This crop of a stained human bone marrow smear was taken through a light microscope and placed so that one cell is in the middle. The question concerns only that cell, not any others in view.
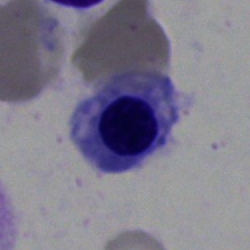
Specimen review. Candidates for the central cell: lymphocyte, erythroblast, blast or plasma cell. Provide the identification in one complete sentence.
The cell in the middle of this crop is an erythroblast.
